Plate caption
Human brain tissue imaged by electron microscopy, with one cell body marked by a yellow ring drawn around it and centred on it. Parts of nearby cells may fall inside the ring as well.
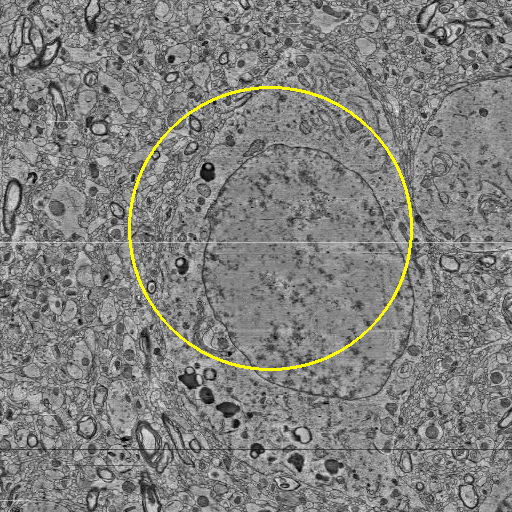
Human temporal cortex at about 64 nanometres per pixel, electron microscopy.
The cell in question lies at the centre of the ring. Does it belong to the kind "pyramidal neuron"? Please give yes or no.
Yes, it belongs to that kind.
